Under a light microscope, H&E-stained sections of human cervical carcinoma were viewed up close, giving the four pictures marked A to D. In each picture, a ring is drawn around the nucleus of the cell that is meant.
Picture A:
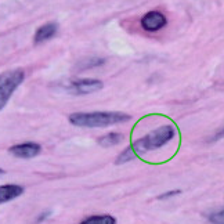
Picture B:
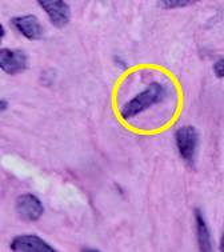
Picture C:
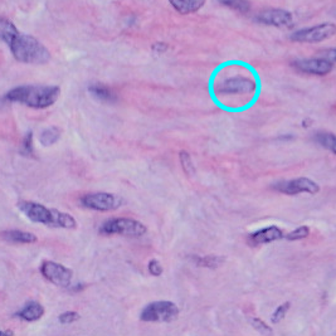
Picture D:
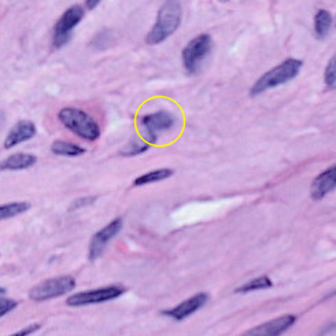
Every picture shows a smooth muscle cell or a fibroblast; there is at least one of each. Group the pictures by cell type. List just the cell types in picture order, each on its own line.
fibroblast
fibroblast
smooth muscle cell
fibroblast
